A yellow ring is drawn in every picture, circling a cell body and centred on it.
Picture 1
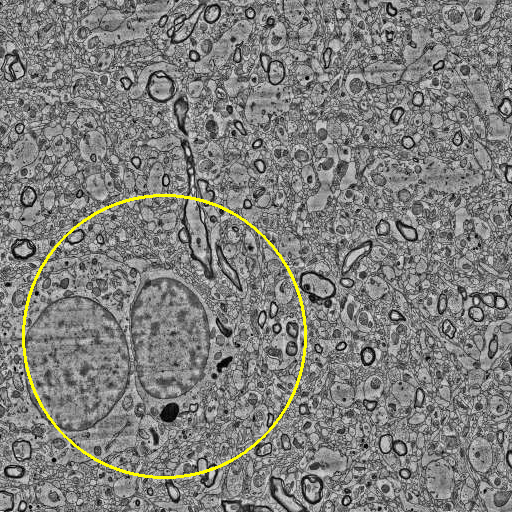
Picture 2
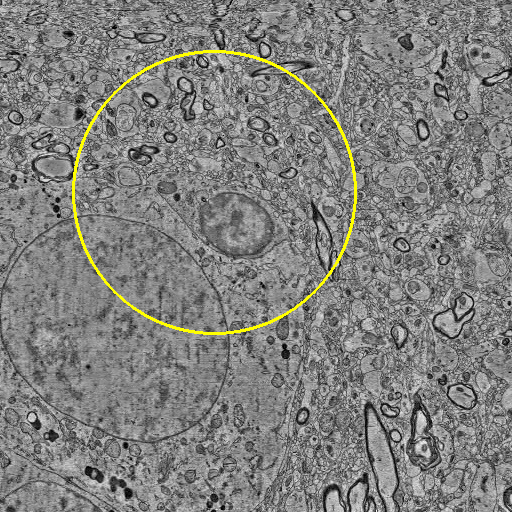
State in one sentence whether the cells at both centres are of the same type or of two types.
The cells at the two ring centres, one per picture, are of the same type.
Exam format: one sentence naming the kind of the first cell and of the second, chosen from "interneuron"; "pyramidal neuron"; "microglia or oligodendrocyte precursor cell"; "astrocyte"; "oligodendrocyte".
In both pictures the ring is centred on an oligodendrocyte.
